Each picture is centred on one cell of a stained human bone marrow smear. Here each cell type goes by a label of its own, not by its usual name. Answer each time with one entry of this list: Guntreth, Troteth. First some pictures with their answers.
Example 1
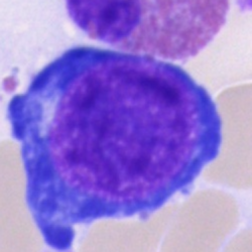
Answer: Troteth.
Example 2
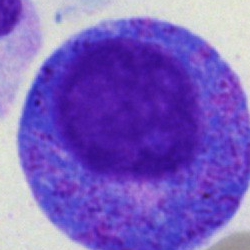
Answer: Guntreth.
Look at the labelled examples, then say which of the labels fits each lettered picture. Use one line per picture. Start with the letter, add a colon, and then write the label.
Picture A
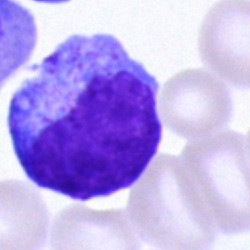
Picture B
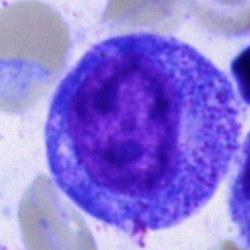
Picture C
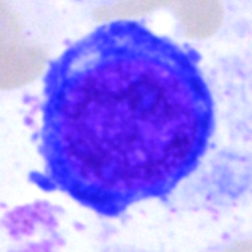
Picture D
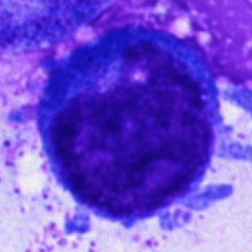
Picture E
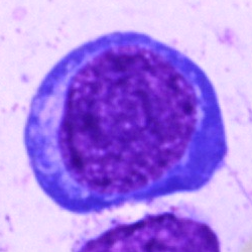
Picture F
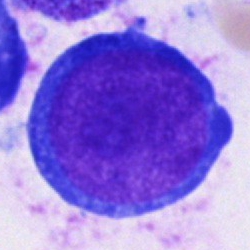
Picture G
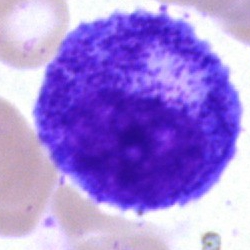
A: Guntreth.
B: Guntreth.
C: Troteth.
D: Troteth.
E: Troteth.
F: Troteth.
G: Guntreth.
